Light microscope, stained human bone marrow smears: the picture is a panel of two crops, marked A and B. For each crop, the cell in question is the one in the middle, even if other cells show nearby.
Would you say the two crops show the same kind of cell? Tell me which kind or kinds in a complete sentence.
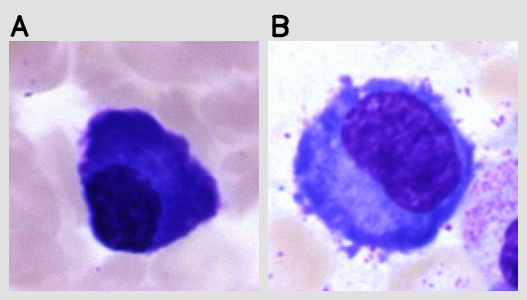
Yes, both crops show plasma cells in their central position.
